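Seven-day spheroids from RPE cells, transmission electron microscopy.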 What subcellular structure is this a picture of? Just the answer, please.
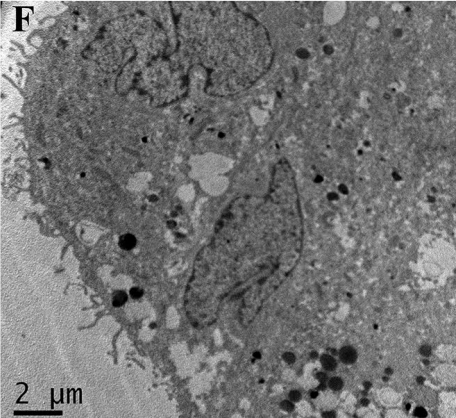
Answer: Microvilli.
